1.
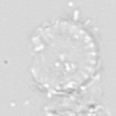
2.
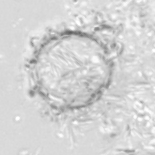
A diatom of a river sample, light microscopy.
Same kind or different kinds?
Same: Stephanodiscus.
